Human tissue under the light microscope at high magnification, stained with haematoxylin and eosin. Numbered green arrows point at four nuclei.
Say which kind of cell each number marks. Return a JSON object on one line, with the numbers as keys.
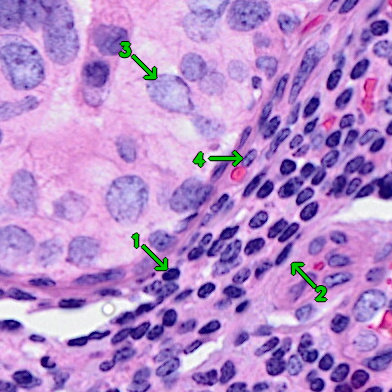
{"1": "lymphocyte", "2": "lymphocyte", "3": "carcinoma cell", "4": "endothelial cell"}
